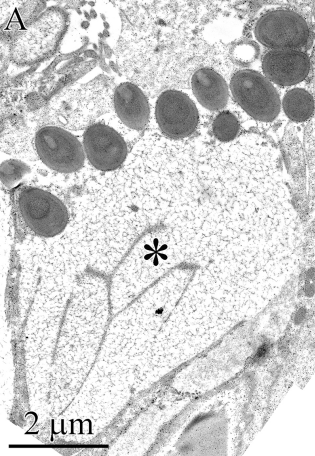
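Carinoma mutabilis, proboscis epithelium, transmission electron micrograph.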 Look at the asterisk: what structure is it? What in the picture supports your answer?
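The asterisk lies in a pale, finely reticulate mass below the row of dark oval bodies. The oval bodies sit on top of this mass. That points to this answer: secretions.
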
